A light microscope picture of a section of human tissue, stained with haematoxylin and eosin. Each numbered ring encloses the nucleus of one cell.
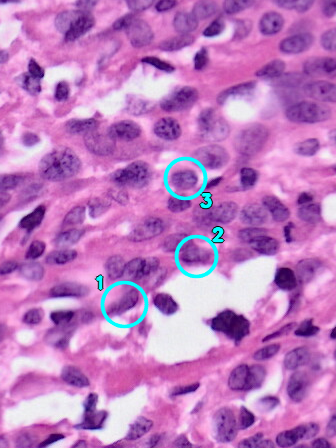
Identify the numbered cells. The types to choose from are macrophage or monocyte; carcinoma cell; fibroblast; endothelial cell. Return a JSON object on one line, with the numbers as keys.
{"1": "carcinoma cell", "2": "carcinoma cell", "3": "macrophage or monocyte"}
